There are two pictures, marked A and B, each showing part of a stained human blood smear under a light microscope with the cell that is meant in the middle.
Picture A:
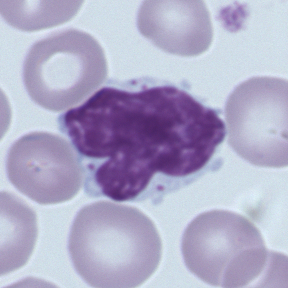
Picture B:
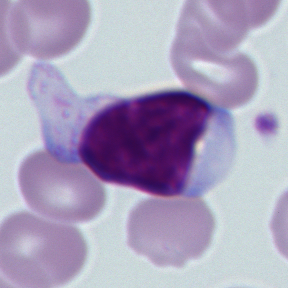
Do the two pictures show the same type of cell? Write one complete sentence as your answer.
Yes, both are large granular lymphocytes.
